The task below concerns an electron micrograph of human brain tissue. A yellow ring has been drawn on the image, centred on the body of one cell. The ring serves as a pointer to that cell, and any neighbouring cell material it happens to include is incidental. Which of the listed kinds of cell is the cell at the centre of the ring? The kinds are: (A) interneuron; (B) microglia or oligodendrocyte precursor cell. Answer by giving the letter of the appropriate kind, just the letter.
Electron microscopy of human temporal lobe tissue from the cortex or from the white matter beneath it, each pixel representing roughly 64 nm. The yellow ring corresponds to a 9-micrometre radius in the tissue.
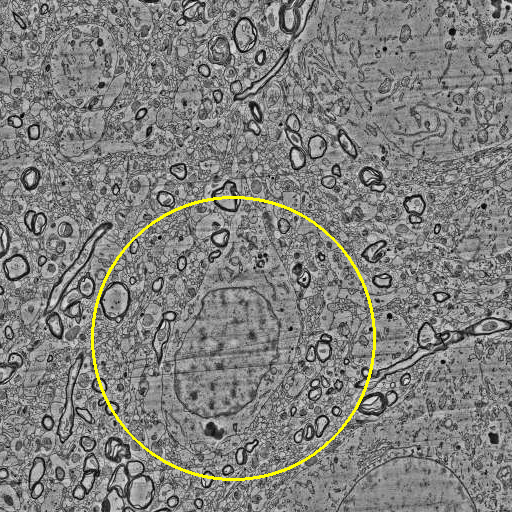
A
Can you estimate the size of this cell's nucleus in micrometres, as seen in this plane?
The nucleus works out at approximately 9 by 6 micrometres in this plane.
